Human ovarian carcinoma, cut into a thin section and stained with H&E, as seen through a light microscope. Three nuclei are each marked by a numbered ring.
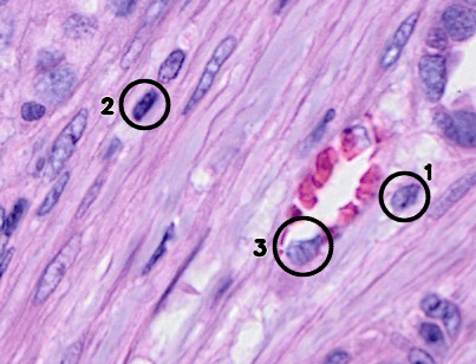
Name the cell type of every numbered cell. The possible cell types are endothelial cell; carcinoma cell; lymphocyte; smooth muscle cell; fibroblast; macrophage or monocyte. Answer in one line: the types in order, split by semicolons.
macrophage or monocyte; lymphocyte; endothelial cell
